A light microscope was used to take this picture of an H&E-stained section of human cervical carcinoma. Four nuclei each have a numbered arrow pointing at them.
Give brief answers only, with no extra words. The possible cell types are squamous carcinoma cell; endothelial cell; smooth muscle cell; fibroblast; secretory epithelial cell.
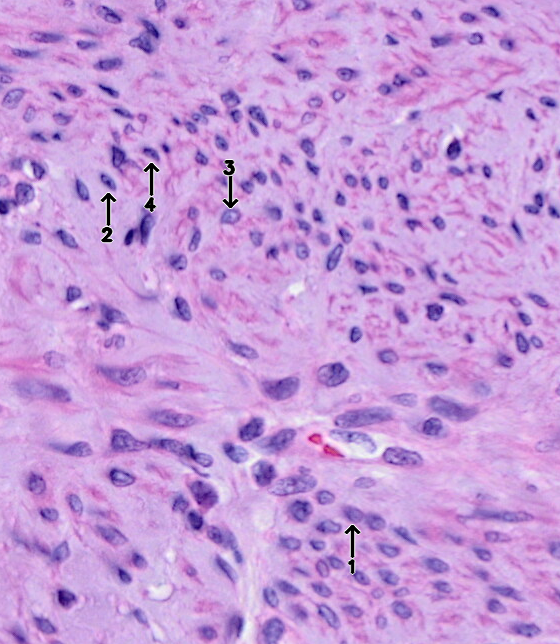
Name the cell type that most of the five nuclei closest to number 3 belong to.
smooth muscle cell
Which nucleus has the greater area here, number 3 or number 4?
3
